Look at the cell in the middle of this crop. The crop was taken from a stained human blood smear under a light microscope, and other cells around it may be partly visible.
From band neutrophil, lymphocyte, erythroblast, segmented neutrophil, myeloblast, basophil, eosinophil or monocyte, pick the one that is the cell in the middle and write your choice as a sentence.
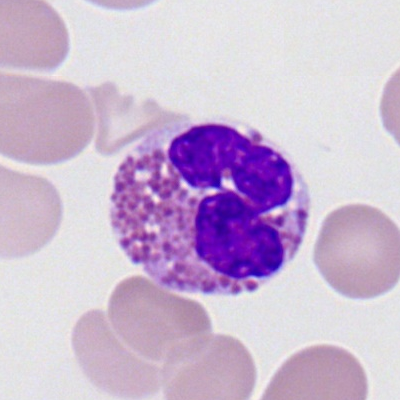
Regarding the central cell, it is an eosinophil.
